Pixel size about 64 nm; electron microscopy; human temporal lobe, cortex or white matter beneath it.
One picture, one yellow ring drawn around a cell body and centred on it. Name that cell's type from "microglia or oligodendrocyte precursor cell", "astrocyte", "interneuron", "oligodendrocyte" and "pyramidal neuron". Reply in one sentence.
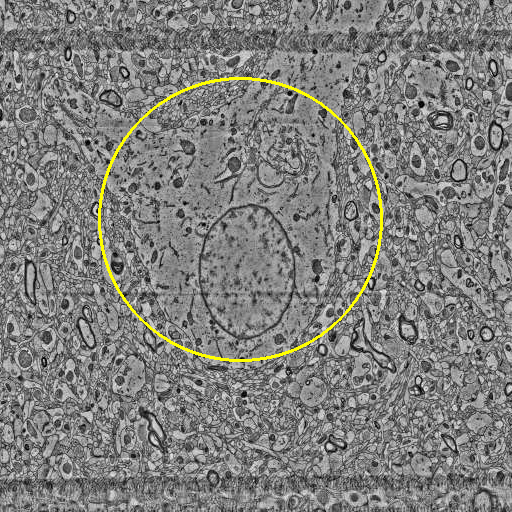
Centred in the ring is a pyramidal neuron.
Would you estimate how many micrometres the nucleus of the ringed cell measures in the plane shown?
The nucleus appears roughly 9 by 6 micrometres in this plane.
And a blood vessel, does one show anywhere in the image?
No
